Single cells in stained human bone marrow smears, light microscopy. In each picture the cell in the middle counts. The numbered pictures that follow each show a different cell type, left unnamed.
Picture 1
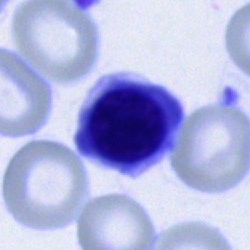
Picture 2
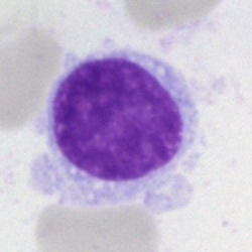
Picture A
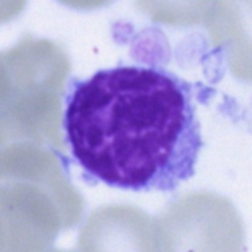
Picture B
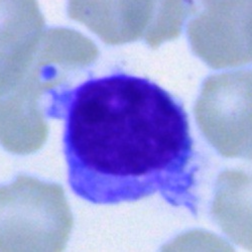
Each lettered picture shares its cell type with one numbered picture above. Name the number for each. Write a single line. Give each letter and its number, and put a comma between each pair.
A 2, B 2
